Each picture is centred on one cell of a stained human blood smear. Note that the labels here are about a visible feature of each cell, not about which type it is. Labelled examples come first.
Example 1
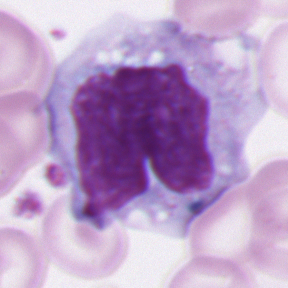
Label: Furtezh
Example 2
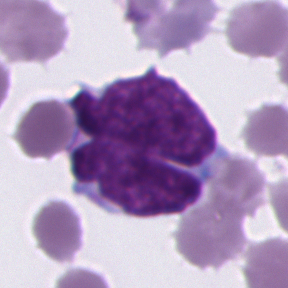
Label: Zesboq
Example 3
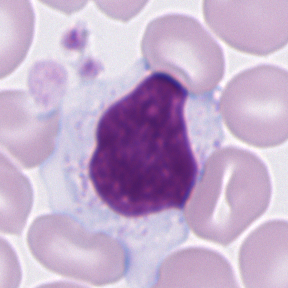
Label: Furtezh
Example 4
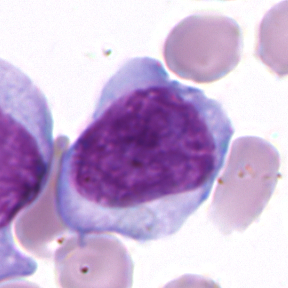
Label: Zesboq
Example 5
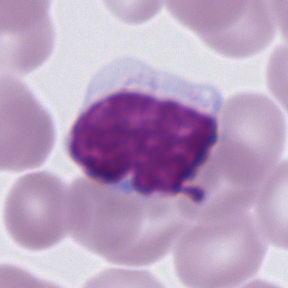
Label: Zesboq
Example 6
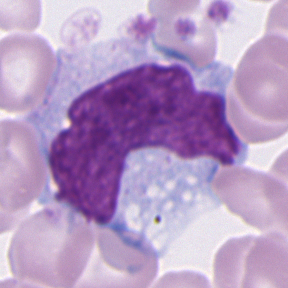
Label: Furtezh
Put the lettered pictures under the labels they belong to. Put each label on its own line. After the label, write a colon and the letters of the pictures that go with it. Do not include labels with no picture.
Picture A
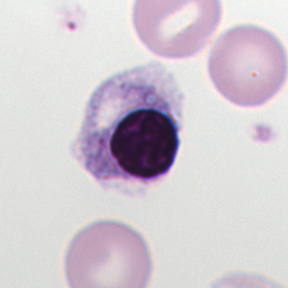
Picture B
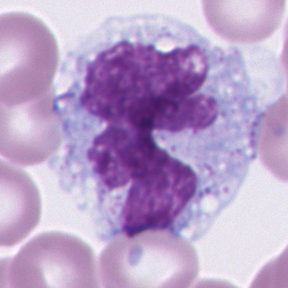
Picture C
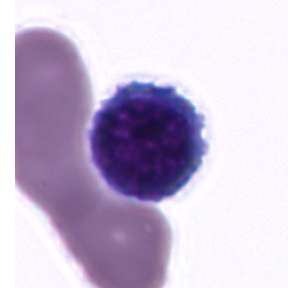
Furtezh: A, B
Zesboq: C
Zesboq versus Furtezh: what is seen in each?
In Zesboq: scant cytoplasm. In Furtezh: abundant cytoplasm.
